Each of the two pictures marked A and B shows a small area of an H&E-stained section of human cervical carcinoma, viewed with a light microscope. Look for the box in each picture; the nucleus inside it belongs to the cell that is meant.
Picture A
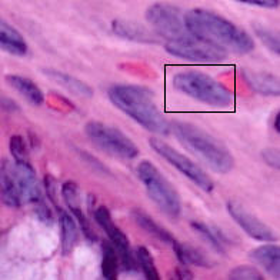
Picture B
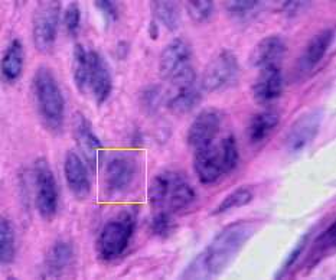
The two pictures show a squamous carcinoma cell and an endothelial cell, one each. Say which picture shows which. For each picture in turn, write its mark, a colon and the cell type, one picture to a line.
A: endothelial cell
B: squamous carcinoma cell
